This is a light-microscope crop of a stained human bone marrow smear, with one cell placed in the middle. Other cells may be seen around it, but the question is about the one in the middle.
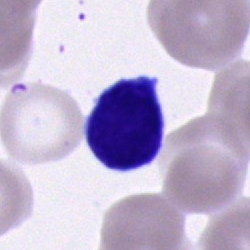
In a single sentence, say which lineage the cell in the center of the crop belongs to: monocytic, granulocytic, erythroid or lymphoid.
The cell at the center of the crop has lymphoid lineage.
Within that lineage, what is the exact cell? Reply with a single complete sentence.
As for the central cell, it is a lymphocyte.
